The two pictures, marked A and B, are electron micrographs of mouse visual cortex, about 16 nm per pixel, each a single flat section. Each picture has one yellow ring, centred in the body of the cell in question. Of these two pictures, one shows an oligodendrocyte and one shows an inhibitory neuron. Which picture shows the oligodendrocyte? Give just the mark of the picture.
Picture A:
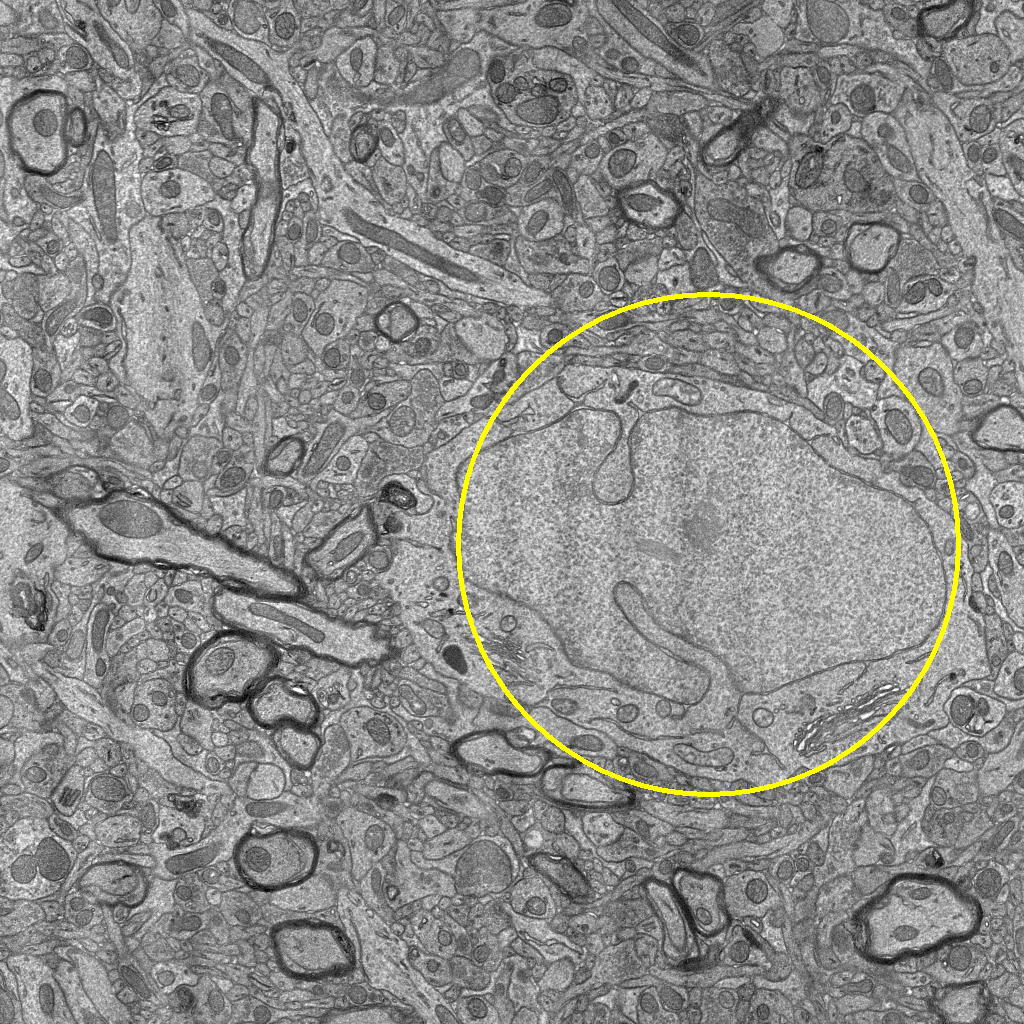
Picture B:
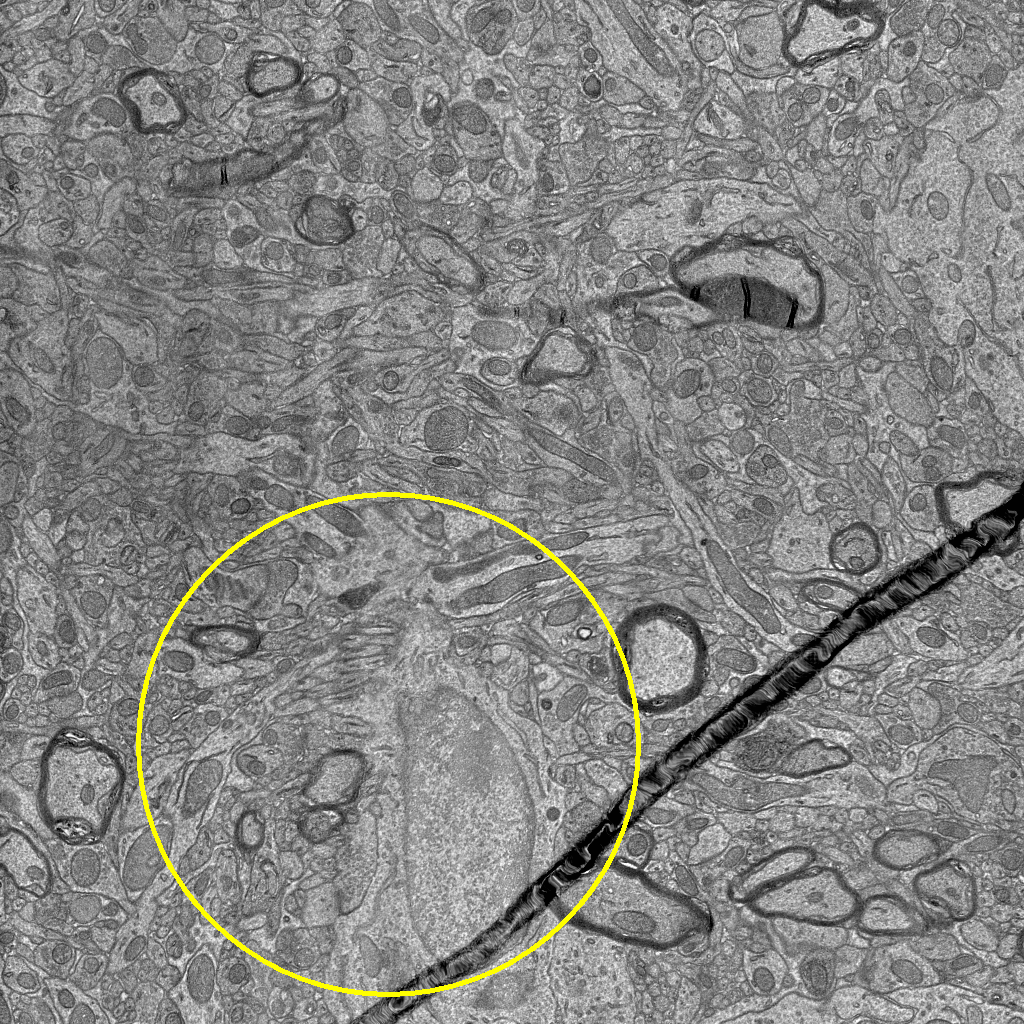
B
